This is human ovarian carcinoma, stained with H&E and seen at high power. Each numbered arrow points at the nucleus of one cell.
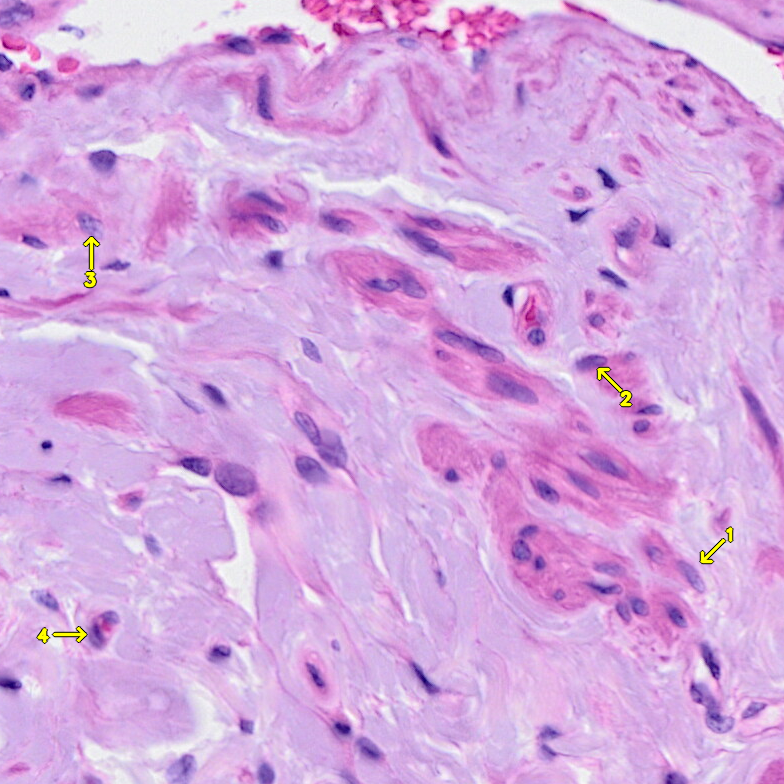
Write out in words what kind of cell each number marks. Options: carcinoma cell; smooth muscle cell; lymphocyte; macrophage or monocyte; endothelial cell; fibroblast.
Cells 1, 2 and 3 are smooth muscle cells. Cell 4 is an endothelial cell.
